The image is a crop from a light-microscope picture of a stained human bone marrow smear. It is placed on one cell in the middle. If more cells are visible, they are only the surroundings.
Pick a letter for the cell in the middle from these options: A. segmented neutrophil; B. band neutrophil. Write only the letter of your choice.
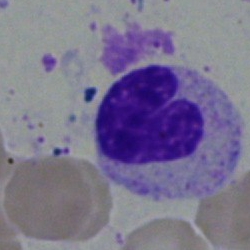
B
